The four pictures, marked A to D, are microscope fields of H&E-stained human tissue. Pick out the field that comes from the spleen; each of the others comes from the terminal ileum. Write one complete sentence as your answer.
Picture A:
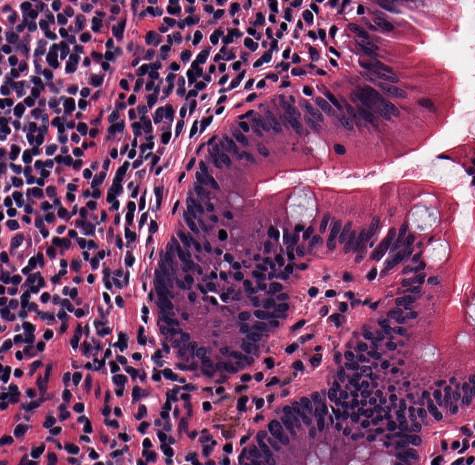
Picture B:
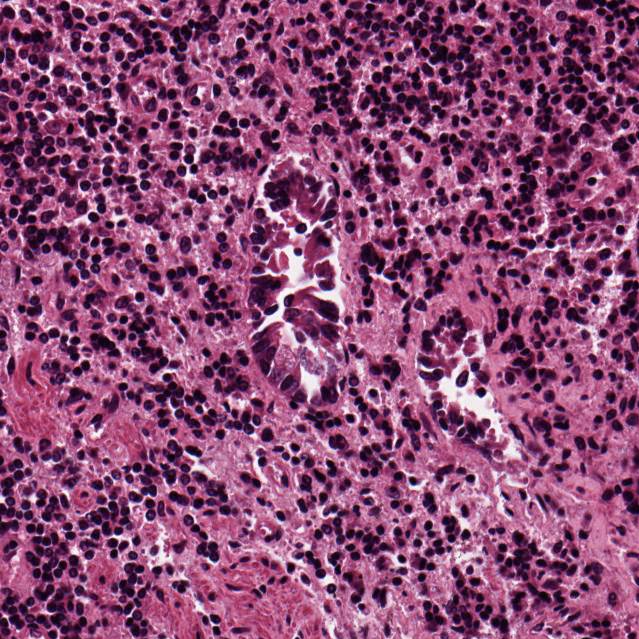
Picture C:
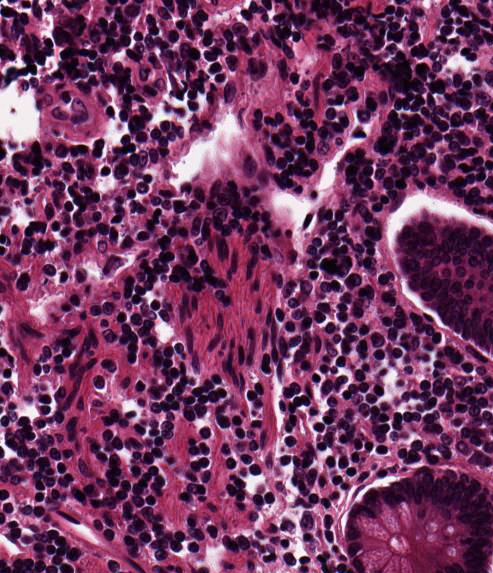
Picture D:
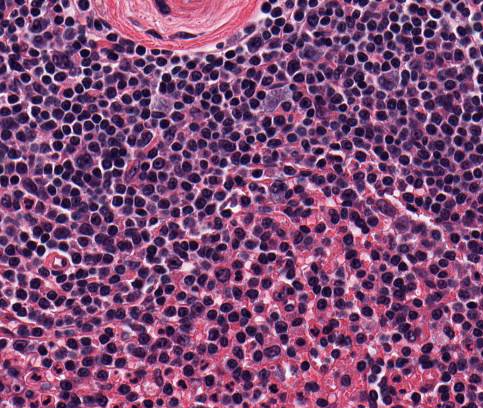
Picture D comes from the spleen.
